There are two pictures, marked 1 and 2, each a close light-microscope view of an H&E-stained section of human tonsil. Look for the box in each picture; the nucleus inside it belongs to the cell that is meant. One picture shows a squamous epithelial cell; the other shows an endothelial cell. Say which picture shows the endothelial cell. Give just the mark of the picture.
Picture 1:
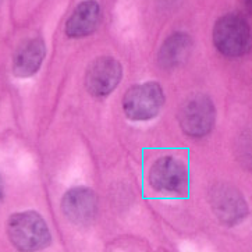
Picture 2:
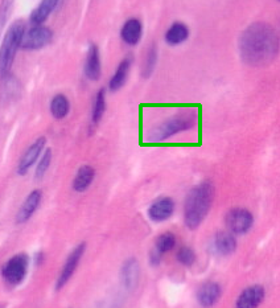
2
